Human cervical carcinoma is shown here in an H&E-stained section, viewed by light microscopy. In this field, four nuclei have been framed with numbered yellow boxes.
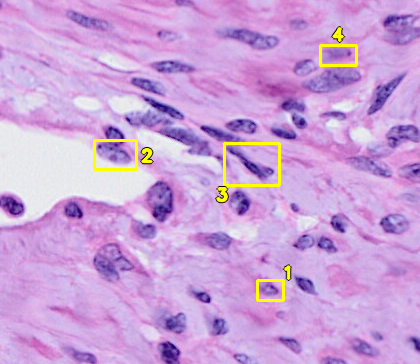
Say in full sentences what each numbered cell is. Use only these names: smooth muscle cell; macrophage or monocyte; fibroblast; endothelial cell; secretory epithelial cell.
Cell 1 is a smooth muscle cell, cell 2 is an endothelial cell, cell 3 is a fibroblast and cell 4 is a smooth muscle cell.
